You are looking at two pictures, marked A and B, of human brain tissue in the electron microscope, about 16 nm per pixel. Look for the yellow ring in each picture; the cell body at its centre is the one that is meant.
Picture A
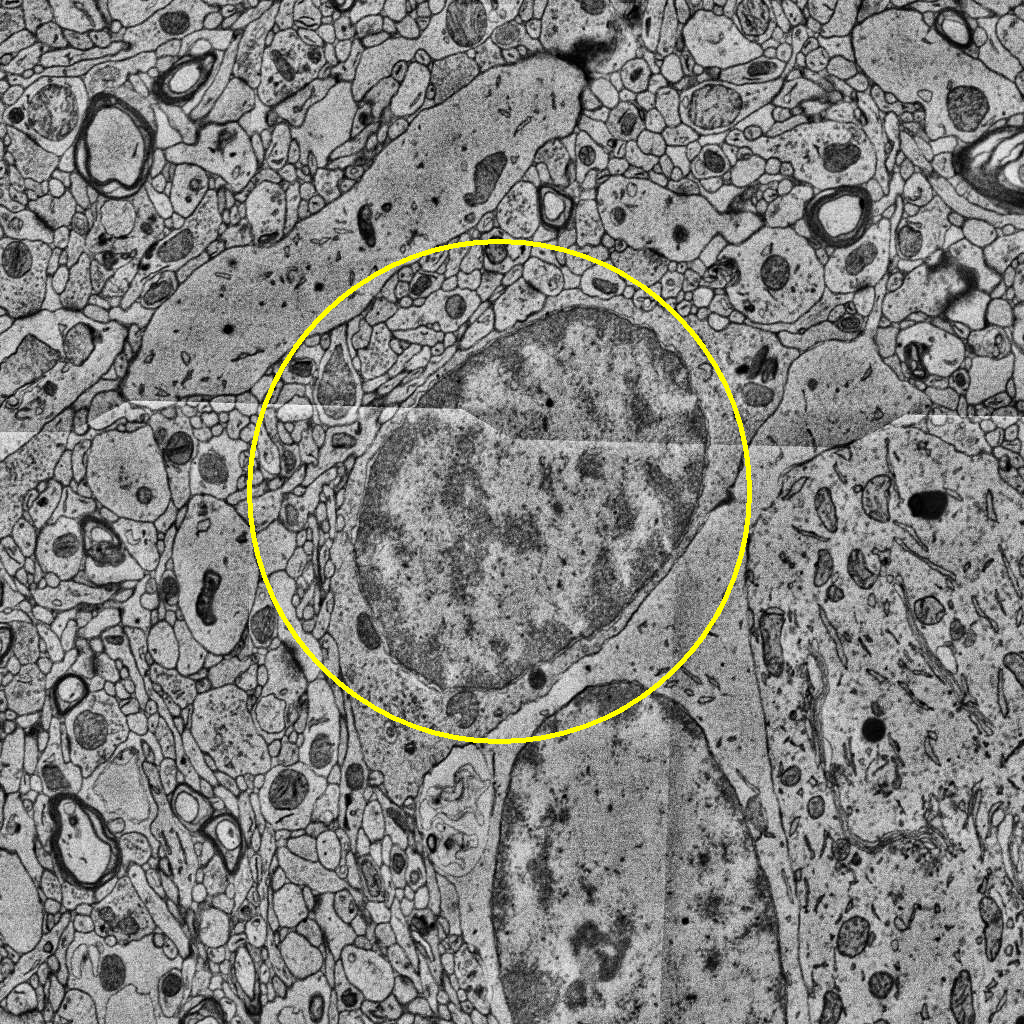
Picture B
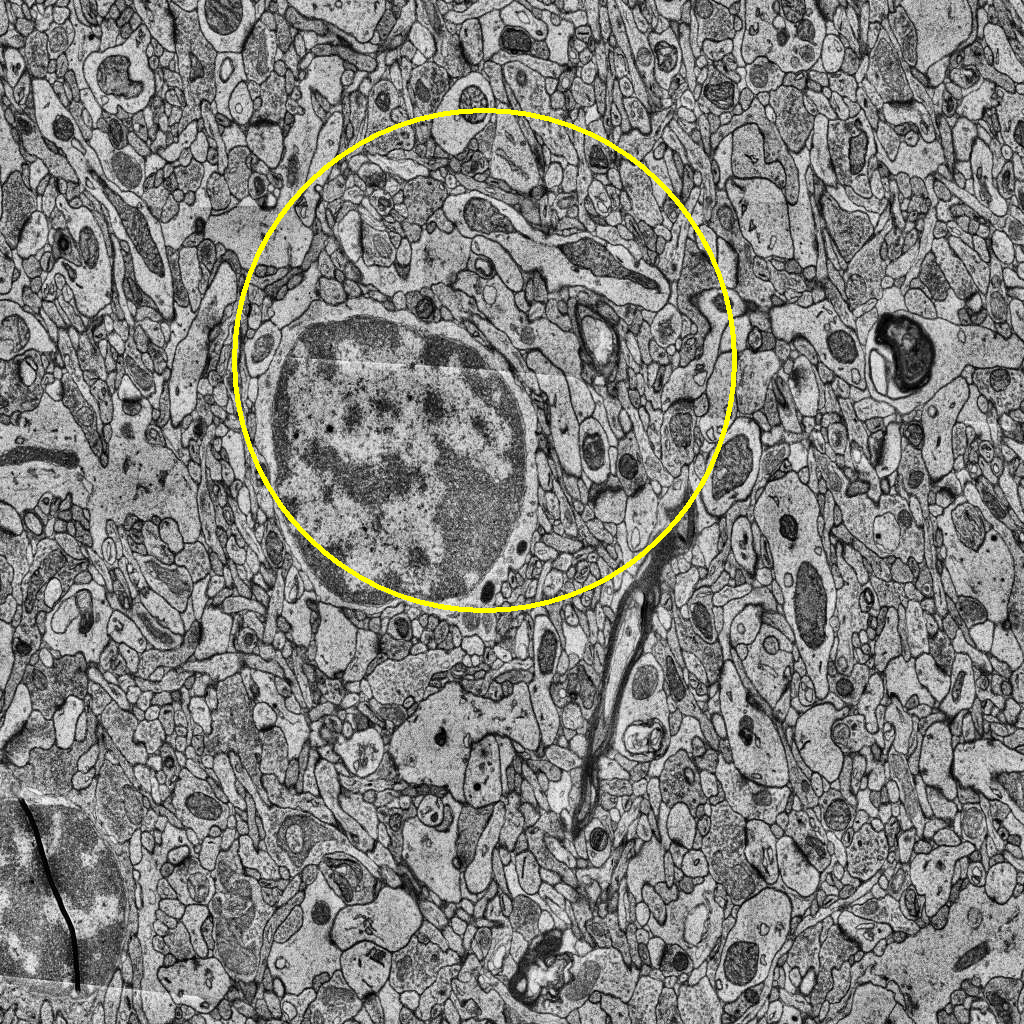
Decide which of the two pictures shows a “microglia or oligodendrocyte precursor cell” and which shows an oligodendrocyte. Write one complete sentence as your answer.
It is picture A that shows an oligodendrocyte, and picture B that shows a “microglia or oligodendrocyte precursor cell”.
